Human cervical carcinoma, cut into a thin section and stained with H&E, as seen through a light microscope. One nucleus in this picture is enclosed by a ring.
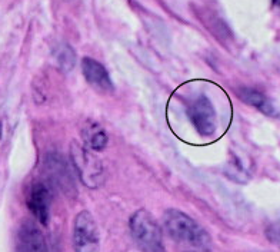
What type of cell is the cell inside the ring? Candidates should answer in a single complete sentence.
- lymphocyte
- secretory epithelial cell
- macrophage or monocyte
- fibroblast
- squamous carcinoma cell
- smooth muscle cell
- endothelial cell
Typologically, the cell inside the ring is a fibroblast in this section.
